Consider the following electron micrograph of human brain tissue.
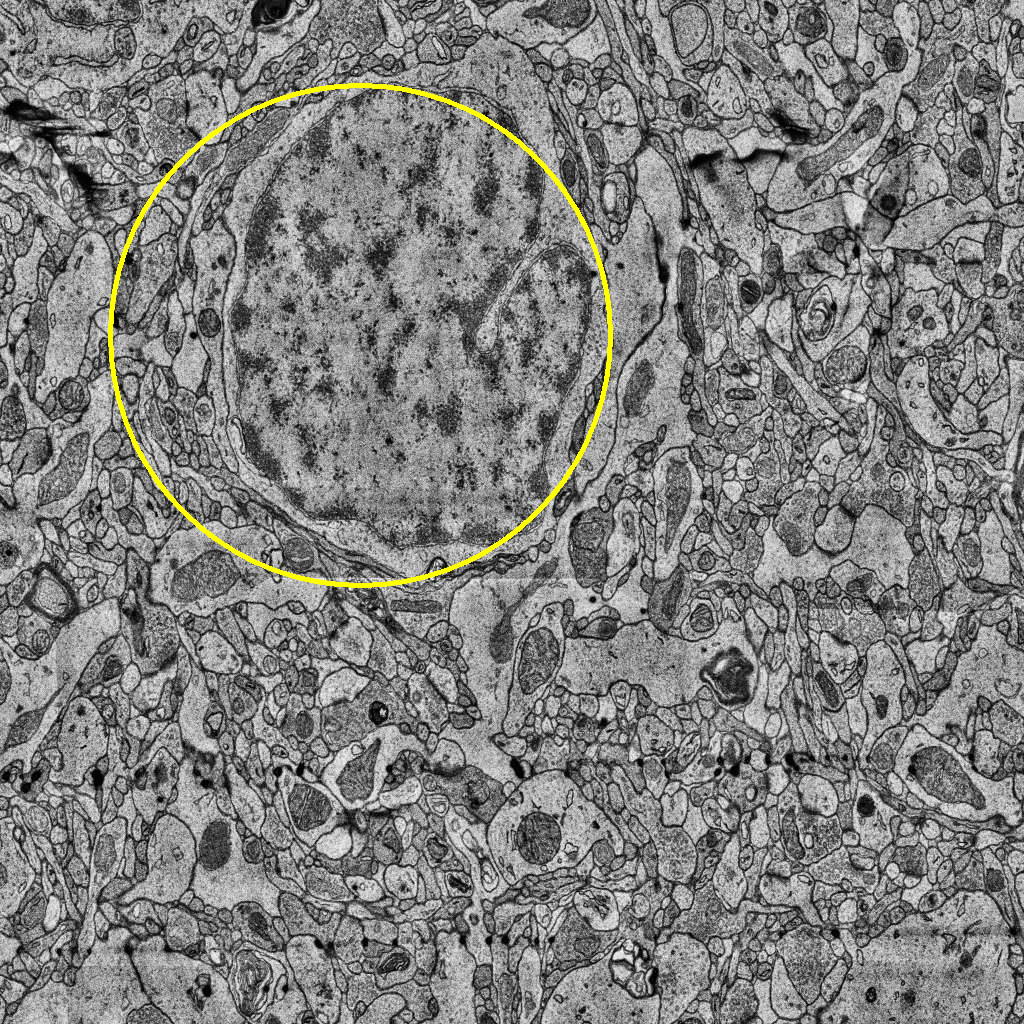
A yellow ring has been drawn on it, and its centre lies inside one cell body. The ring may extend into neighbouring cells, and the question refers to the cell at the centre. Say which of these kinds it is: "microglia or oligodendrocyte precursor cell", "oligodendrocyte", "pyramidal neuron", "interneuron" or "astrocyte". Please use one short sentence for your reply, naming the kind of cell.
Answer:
The centre of the ring falls on a microglial cell or oligodendrocyte precursor cell.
